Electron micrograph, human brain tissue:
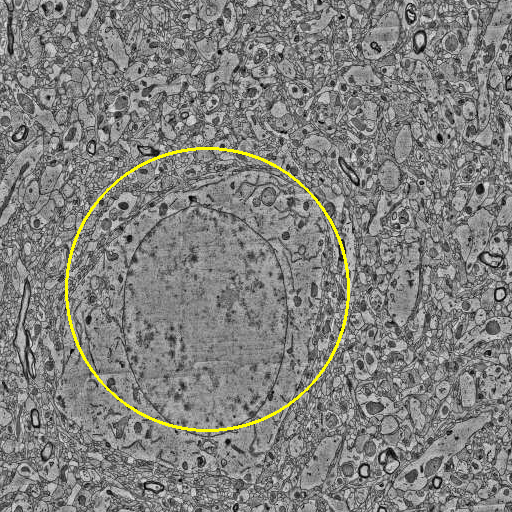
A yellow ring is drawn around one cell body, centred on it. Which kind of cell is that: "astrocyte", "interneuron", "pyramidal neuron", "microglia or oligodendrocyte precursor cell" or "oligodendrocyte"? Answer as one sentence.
It is a pyramidal neuron at the centre of the ring.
